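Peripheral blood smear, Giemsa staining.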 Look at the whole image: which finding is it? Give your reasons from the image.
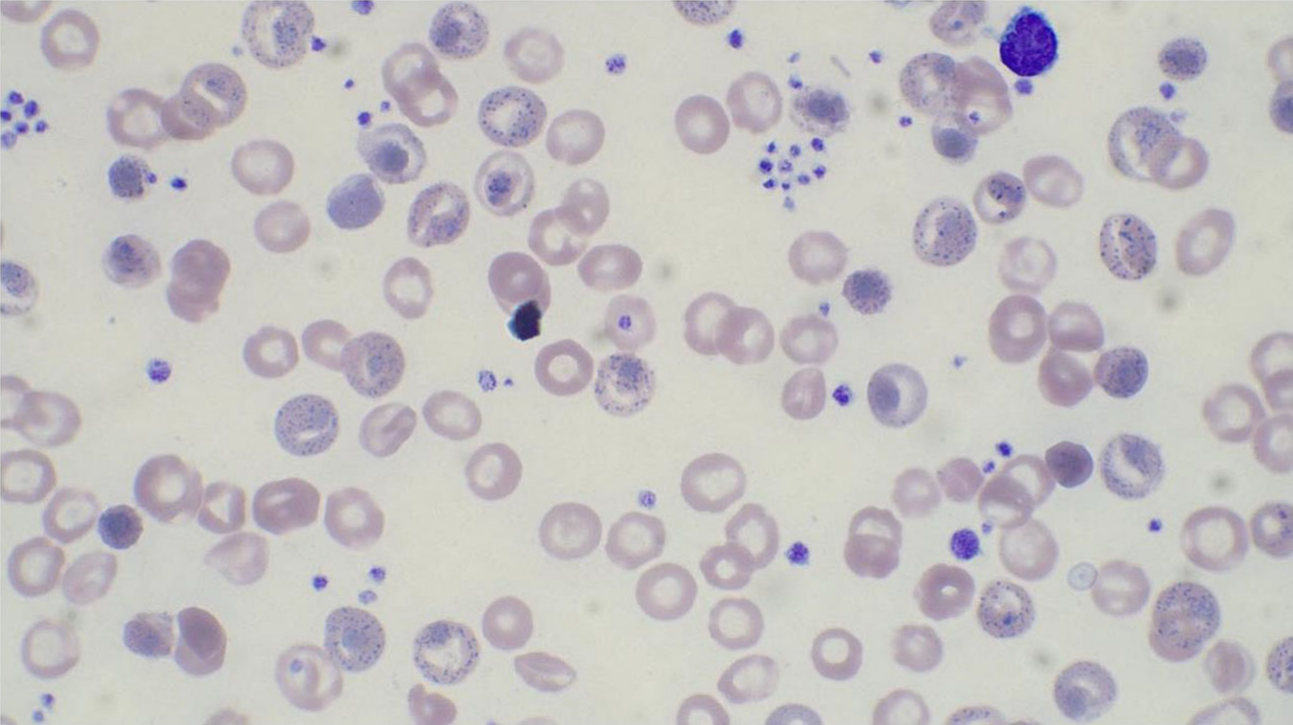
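Basophilic stippling. Many red cells hold numerous fine to coarse dark blue-purple dots spread through their cytoplasm. Other red cells beside them are free of such dots.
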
